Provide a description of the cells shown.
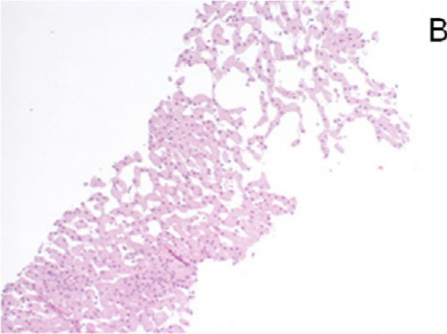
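This is a needle core of liver lesion made of hepatocytes arranged in plates and cords, with pink cytoplasm and small round purple nuclei. What stands out is the space between the plates: the sinusoids are widely dilated, forming large, empty, irregular channels, so that the hepatocyte cords look thin and branching, like a lace or sponge. Toward the upper right the cords become especially slender and widely separated. No normal lobular landmarks are evident.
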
